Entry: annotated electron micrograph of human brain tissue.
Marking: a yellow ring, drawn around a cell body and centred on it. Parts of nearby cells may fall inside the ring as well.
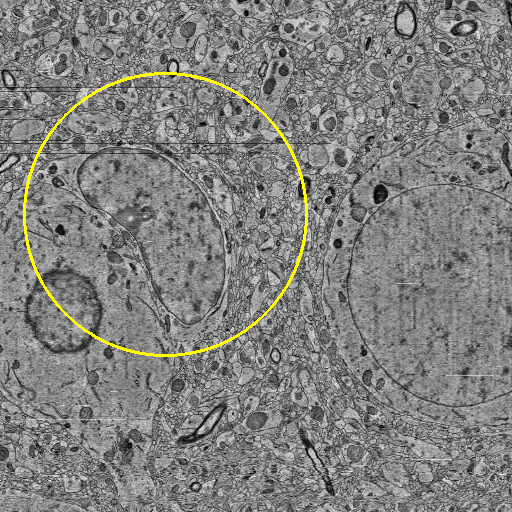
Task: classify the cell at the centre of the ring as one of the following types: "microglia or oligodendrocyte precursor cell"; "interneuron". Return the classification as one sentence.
The marked cell is classified as a microglial cell or oligodendrocyte precursor cell.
